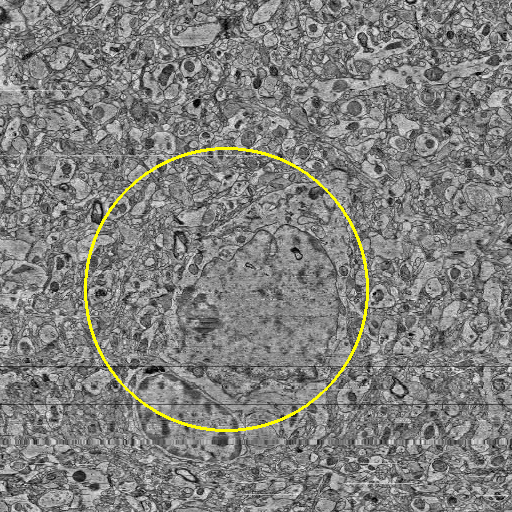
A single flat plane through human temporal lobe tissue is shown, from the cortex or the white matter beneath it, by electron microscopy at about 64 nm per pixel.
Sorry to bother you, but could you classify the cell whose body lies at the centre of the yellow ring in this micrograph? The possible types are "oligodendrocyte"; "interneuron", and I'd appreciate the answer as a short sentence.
The ringed cell body is that of an interneuron.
